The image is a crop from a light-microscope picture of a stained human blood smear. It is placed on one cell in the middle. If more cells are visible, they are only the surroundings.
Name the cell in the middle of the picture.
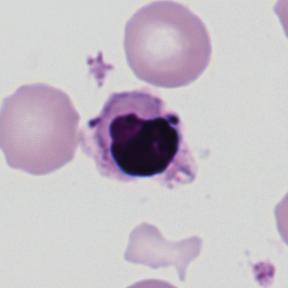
normoblast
